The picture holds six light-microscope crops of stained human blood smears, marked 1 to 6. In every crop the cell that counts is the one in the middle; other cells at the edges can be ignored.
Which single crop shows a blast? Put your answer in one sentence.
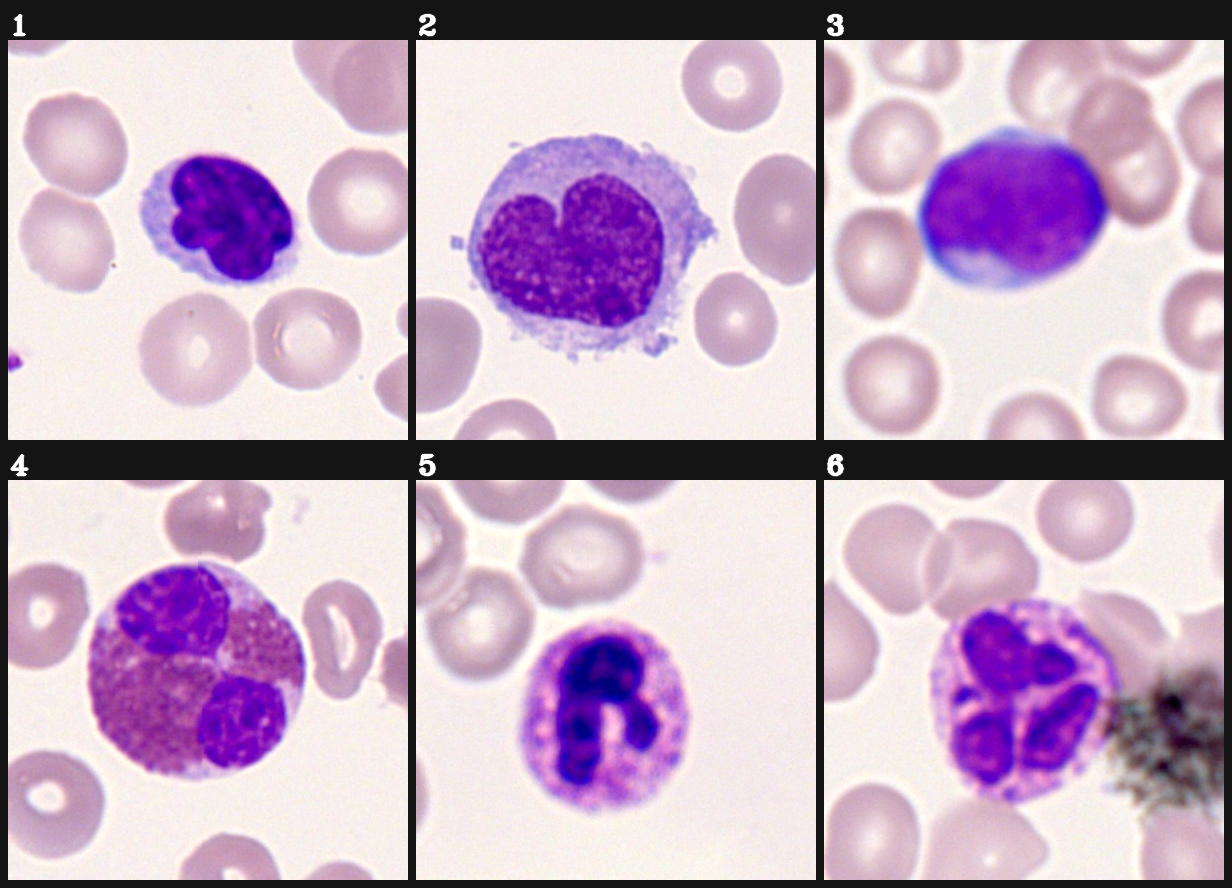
Crop 3 is the one depicting a blast.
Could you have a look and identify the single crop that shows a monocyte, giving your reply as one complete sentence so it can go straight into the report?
The cell identified as a monocyte is the one in crop 2.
